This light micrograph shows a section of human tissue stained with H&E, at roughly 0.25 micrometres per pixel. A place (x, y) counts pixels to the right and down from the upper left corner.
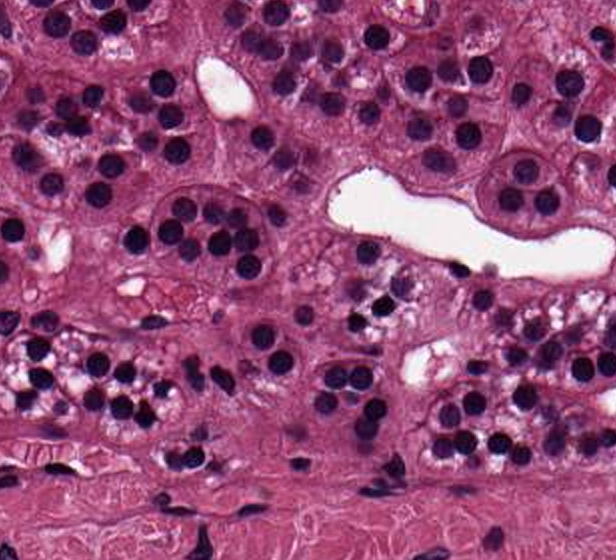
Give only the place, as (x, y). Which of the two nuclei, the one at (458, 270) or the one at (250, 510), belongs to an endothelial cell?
(458, 270)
